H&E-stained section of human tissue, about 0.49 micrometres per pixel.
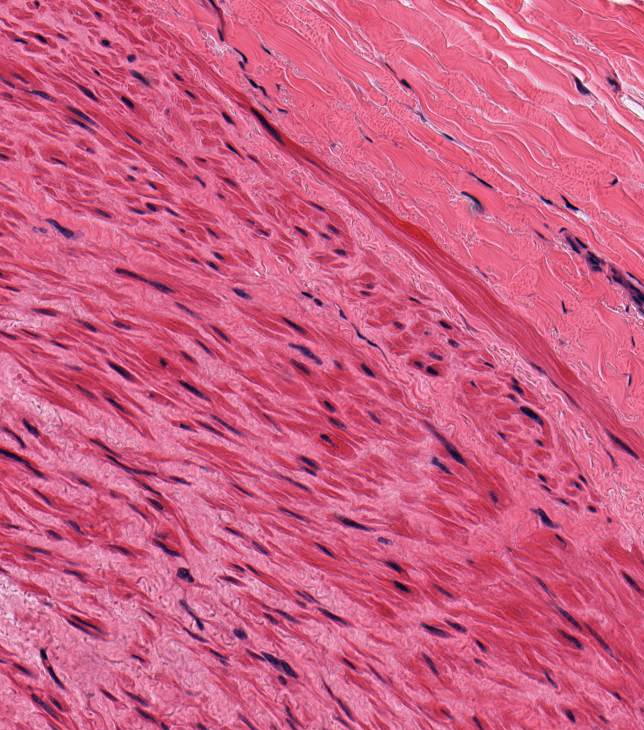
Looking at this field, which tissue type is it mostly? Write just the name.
tunica media of an artery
